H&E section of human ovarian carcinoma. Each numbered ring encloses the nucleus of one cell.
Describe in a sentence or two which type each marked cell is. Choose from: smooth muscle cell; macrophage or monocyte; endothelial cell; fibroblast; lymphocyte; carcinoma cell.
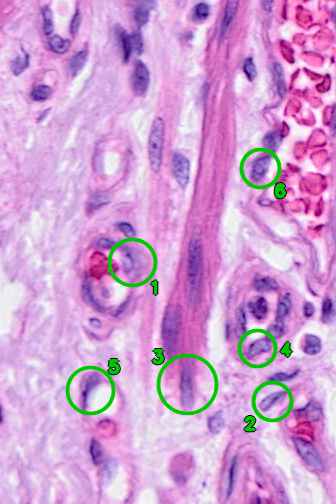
Cell 1 is an endothelial cell, cell 2 is a fibroblast, cell 3 is a smooth muscle cell, cell 4 is an endothelial cell, cell 5 is an endothelial cell and cell 6 is an endothelial cell.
